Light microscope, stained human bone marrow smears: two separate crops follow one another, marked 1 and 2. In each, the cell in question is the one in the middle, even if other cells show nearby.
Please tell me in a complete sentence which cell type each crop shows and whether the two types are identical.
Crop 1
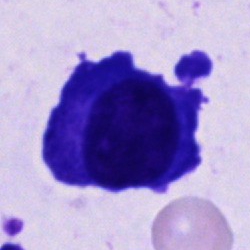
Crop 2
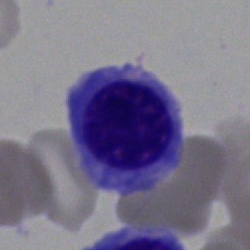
No, it is a plasma cell that crop 1 shows, and an erythroblast that crop 2 shows.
